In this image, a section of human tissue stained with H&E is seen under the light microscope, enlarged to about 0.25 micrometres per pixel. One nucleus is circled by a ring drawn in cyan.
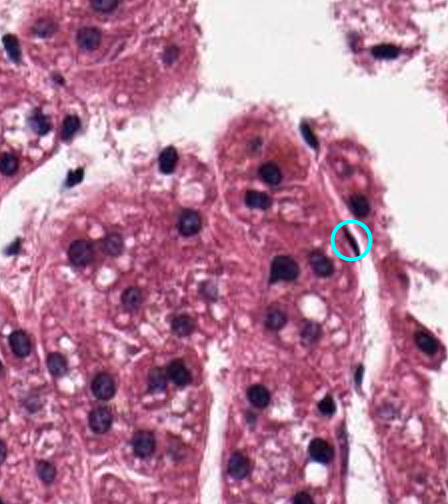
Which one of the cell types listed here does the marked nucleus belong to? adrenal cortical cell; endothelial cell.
endothelial cell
